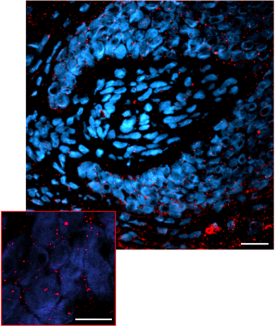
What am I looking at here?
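A hair follicle bulb is seen in section, with a crowded mass of cells whose blue nuclei are round to oval, curving around a central core of more elongated, loosely arranged nuclei. These crowded cells are the matrix keratinocytes of the hair matrix. Small red dots are scattered throughout the cytoplasm between the nuclei, and the inset at higher magnification shows them as discrete puncta around the nuclei.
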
